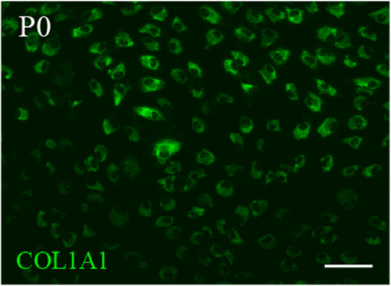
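Many separate cells are scattered evenly across a dark field, each outlined by green fluorescence. The cells are small, rounded to polygonal, with the green signal filling the cytoplasm and often brighter around a darker central zone where the nucleus lies. A few cells are larger and more intensely green. No long processes or spindle-shaped forms are evident; the cells keep a compact rounded shape.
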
